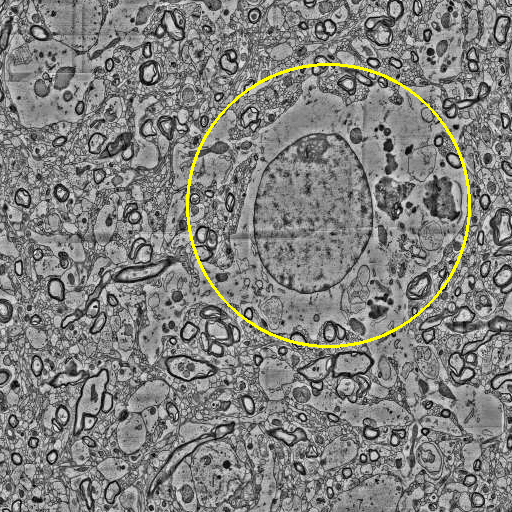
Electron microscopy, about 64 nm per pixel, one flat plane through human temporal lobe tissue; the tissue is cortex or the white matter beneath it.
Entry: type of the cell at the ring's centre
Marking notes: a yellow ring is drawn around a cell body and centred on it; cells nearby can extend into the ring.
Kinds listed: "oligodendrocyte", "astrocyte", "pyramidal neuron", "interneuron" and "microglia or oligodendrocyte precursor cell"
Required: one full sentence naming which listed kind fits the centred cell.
My entry names an astrocyte as the cell whose body the yellow ring centres on.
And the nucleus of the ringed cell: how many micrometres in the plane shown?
Approximately 10 x 8 micrometres in this plane.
